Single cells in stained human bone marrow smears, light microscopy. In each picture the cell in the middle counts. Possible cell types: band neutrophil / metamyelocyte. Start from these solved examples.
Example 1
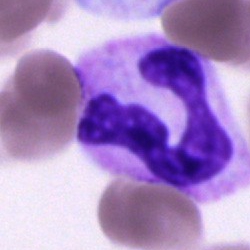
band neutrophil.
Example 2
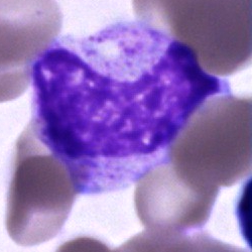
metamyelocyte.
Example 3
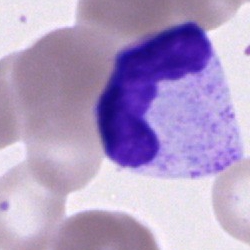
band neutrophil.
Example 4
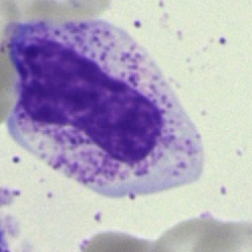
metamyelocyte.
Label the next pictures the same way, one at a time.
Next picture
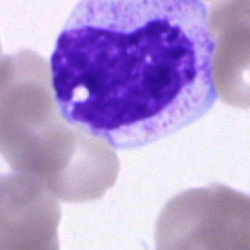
metamyelocyte.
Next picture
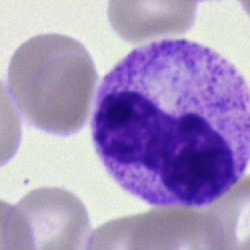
band neutrophil.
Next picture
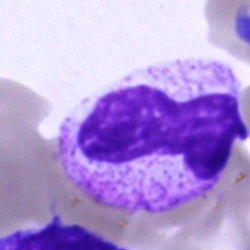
band neutrophil.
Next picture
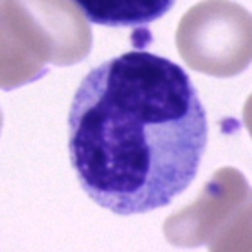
metamyelocyte.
